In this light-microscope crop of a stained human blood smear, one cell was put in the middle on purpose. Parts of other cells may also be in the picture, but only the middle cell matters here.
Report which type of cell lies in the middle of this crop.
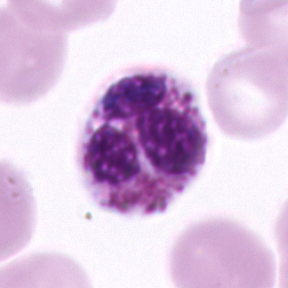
eosinophil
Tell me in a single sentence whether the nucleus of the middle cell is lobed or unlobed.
You can count two or more lobes in this nucleus.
